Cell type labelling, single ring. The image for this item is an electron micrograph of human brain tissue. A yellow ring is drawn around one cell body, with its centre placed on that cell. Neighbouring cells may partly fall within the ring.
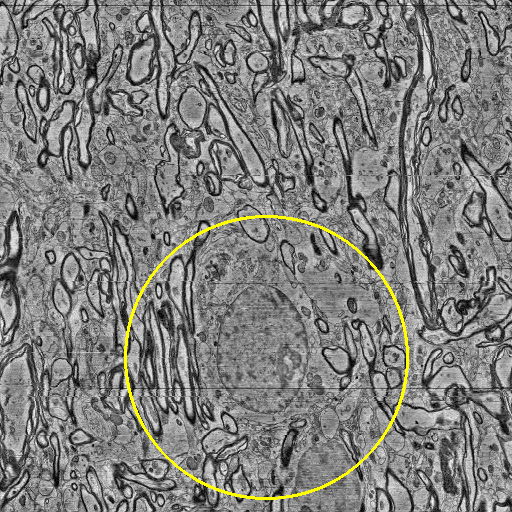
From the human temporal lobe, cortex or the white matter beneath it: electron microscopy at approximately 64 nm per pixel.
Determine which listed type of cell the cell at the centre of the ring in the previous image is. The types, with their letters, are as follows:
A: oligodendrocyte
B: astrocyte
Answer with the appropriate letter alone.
B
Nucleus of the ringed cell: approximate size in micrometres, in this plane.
In this plane, about 9 micrometres in length and 6 in width.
